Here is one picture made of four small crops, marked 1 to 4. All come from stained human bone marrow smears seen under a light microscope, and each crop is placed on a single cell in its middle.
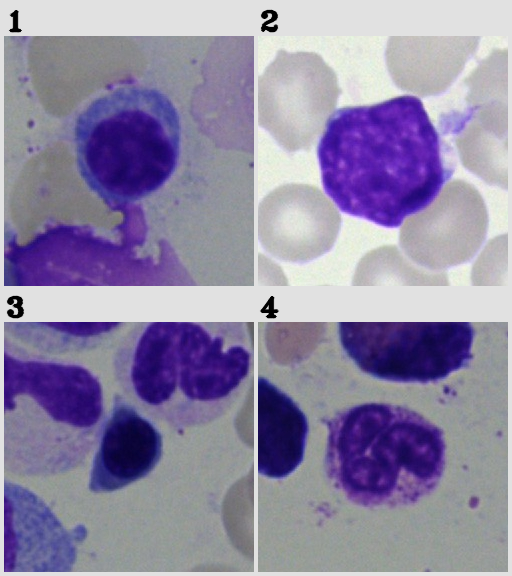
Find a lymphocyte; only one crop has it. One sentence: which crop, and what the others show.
On the one hand crop 1 shows a lymphocyte; on the other, crop 2 is a blast, crop 3 is a normoblast and crop 4 is a neutrophil.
